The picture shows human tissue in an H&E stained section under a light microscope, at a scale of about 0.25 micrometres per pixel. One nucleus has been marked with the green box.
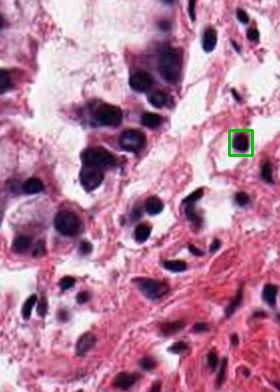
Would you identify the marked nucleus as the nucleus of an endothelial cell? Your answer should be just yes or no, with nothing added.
no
